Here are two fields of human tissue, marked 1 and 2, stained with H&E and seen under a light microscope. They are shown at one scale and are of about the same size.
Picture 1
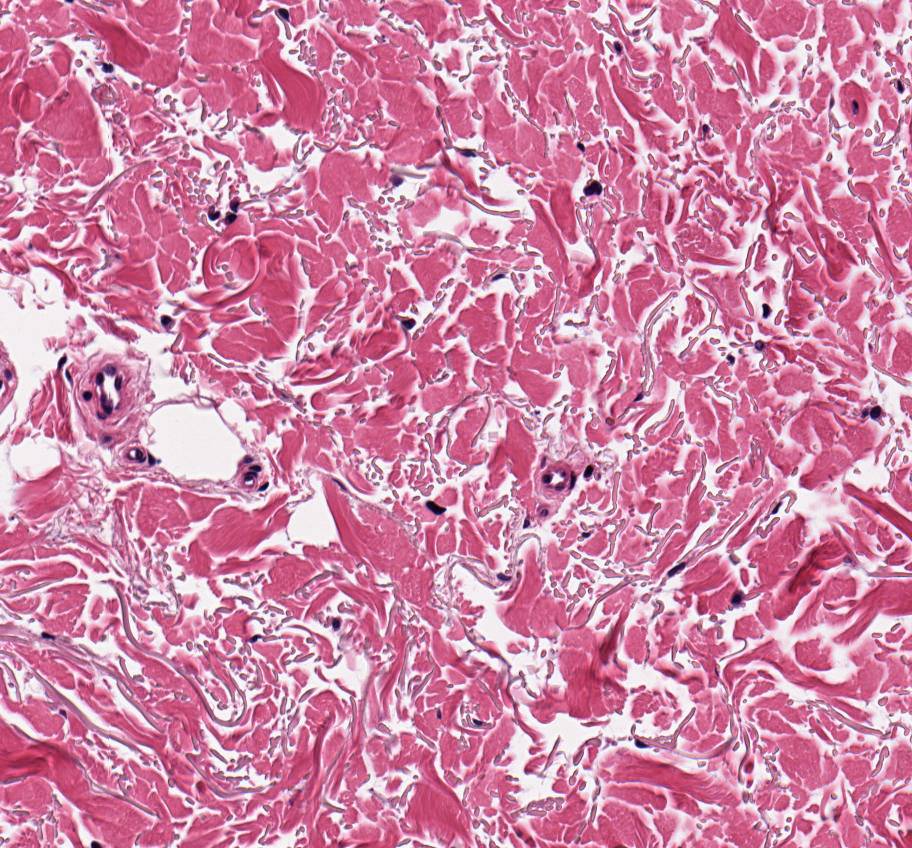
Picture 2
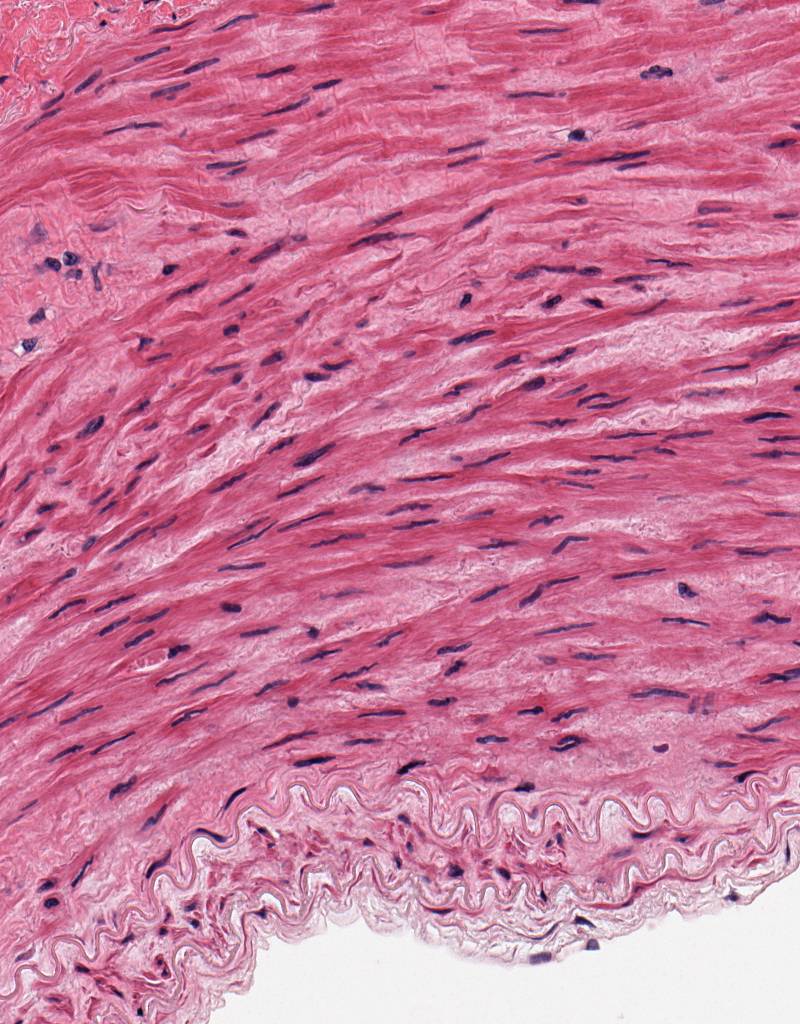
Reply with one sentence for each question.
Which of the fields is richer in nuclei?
More nuclei lie in picture 2 than in picture 1.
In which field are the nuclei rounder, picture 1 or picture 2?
The nuclei are rounder in picture 1.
